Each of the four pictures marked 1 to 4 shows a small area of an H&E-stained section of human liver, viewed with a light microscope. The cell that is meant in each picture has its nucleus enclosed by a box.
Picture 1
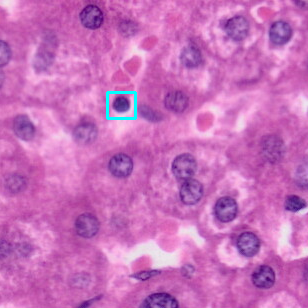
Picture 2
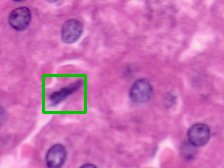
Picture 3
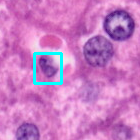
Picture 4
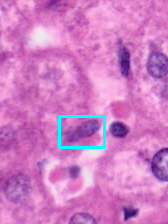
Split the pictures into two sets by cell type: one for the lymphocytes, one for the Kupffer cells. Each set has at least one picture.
1: lymphocyte
2: Kupffer cell
3: Kupffer cell
4: Kupffer cell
